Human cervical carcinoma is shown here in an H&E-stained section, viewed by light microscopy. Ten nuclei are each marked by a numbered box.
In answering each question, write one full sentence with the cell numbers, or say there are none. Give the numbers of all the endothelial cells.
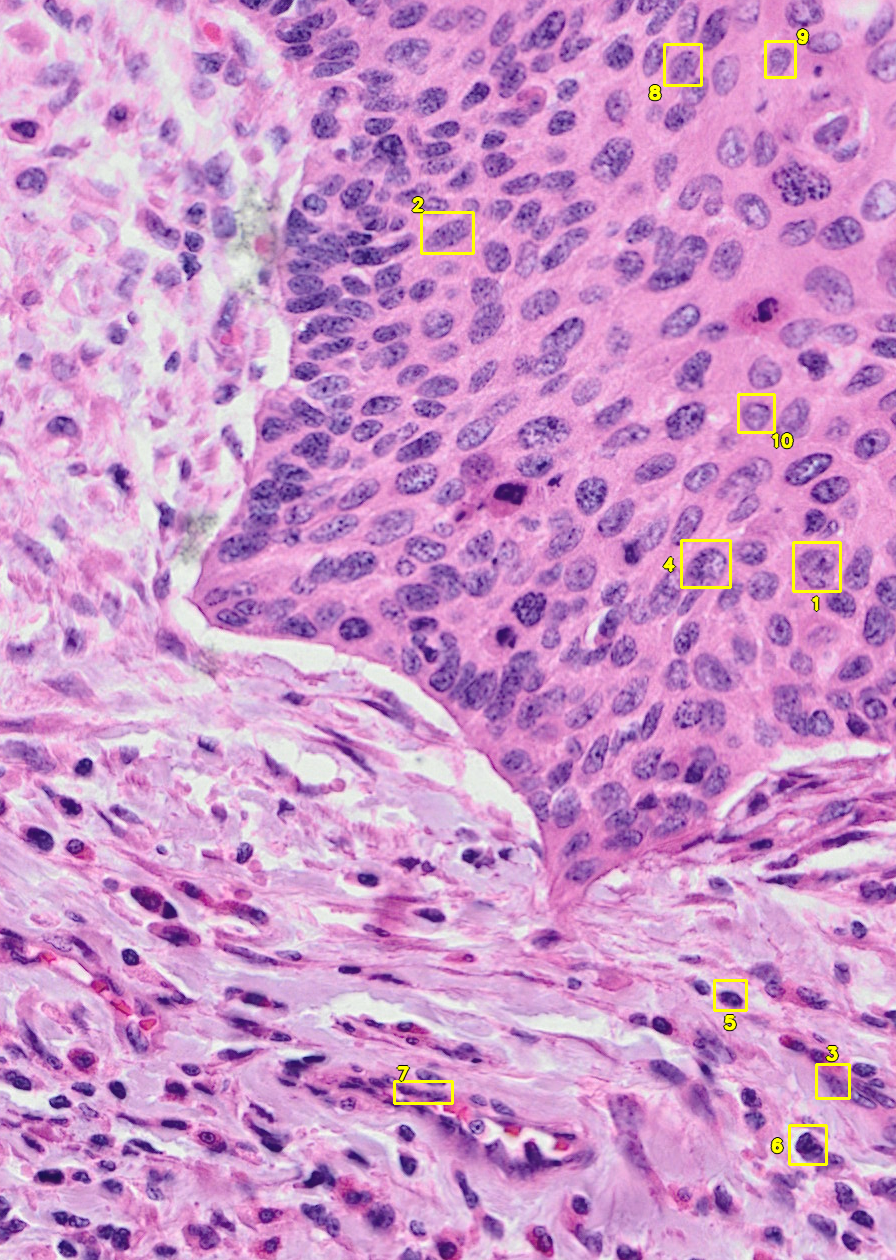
The cells to which the numbers 3 and 7 refer are endothelial cells.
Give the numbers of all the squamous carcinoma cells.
The cells whose numbers are 1, 2, 4, 8, 9 and 10 are squamous carcinoma cells.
